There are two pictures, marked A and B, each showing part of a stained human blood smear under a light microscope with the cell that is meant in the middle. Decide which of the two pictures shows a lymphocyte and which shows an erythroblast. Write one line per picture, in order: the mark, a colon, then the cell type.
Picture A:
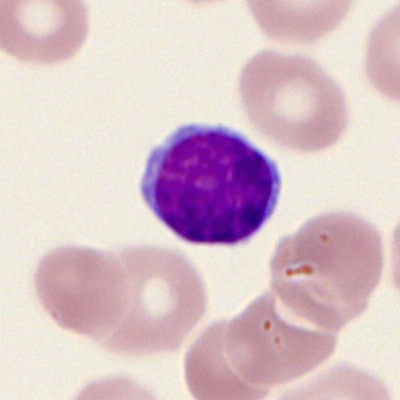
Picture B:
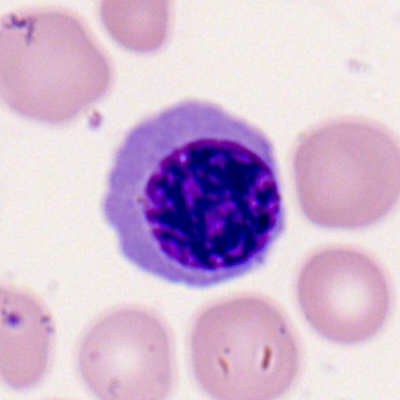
A: lymphocyte
B: erythroblast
